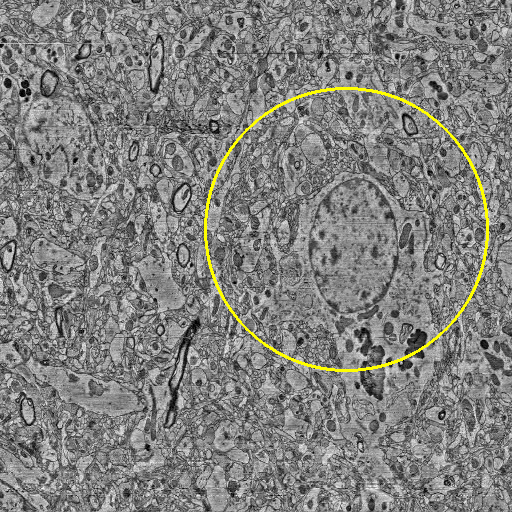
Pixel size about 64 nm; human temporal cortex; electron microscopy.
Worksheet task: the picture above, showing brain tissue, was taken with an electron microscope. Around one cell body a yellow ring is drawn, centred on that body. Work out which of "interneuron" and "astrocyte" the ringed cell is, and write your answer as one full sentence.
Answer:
It is an astrocyte whose cell body lies at the centre of the yellow ring.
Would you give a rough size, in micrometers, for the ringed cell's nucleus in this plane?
The nucleus of the ringed cell is approximately 9 by 6 micrometres in this plane.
